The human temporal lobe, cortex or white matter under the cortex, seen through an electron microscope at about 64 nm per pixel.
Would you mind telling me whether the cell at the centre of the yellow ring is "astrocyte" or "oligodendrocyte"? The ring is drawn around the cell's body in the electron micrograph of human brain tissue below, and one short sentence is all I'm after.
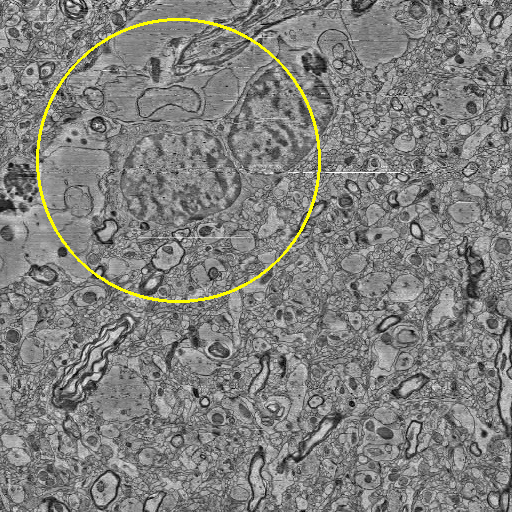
In the centre of the ring lies an oligodendrocyte.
